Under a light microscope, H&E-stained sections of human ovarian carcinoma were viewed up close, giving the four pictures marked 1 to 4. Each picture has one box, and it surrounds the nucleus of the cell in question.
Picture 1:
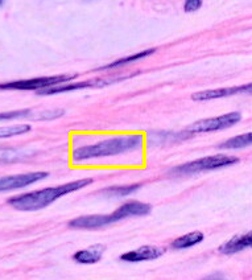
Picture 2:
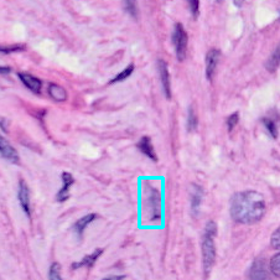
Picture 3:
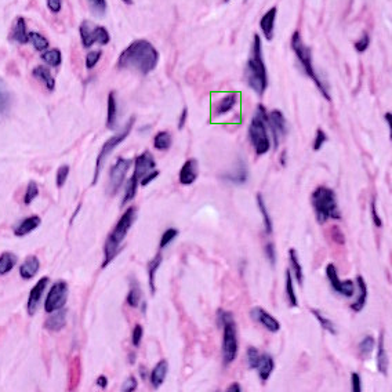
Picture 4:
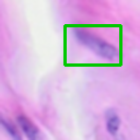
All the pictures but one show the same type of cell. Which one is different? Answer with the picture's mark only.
2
